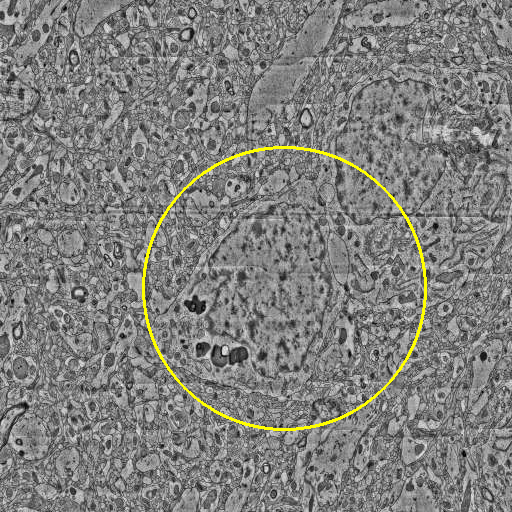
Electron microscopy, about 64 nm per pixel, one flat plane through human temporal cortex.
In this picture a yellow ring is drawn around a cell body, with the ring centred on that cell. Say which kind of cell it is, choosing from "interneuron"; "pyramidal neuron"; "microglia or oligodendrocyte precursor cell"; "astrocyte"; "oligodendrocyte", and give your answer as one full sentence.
Here it is an interneuron that sits at the centre of the drawn yellow ring.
